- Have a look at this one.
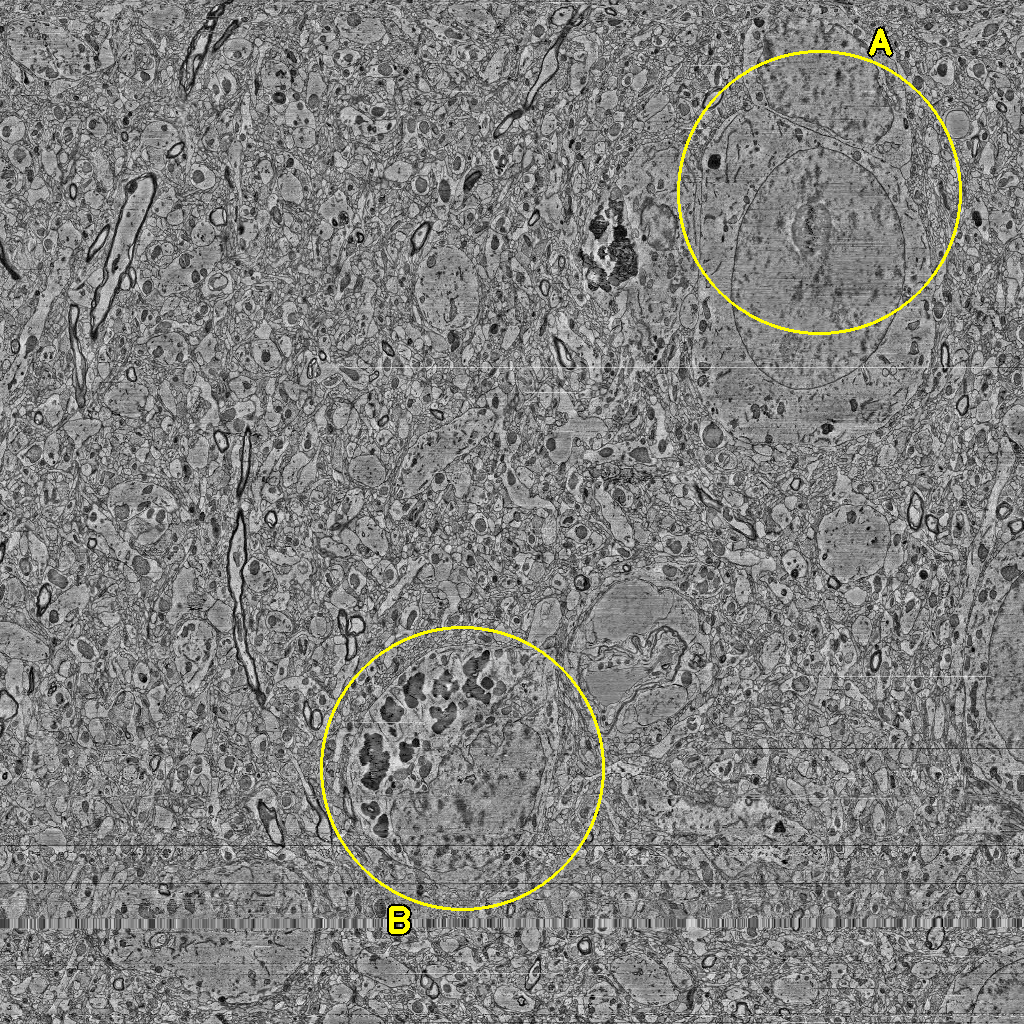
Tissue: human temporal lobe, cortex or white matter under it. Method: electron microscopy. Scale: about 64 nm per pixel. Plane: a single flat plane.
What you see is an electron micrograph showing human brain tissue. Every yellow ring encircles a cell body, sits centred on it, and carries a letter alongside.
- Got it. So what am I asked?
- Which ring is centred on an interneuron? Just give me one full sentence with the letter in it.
The cell asked for sits in the centre of the ring lettered B.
